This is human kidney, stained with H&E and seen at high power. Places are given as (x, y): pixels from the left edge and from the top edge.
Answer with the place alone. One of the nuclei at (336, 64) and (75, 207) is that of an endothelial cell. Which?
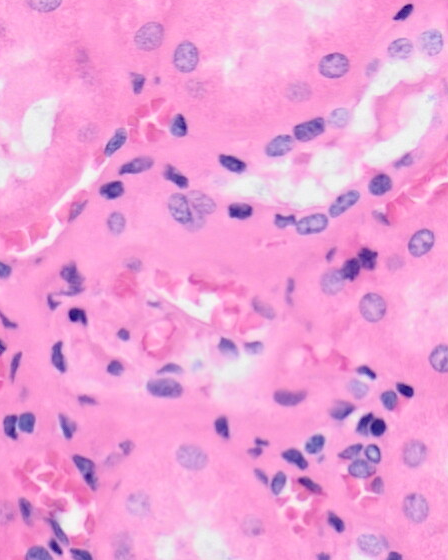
(75, 207)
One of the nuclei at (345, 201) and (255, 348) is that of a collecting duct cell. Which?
(345, 201)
